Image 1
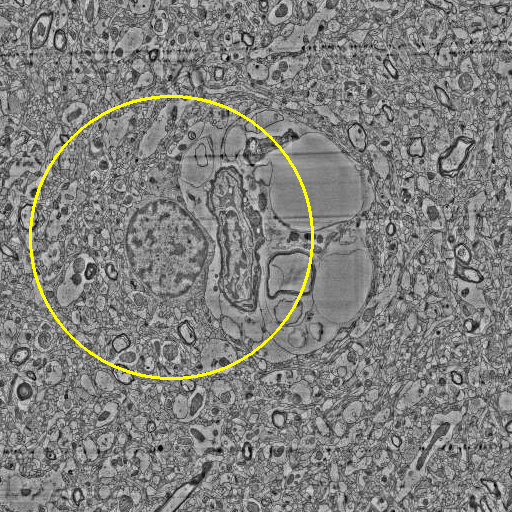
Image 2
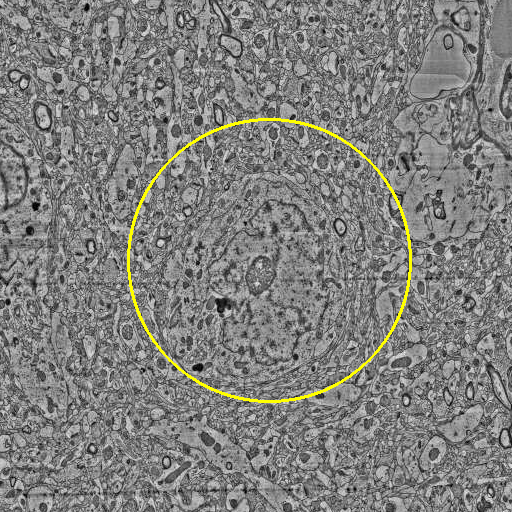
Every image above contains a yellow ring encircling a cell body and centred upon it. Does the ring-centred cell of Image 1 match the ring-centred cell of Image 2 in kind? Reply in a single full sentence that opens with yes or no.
No, the cell at the ring's centre in Image 1 is a separate kind from that in Image 2.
